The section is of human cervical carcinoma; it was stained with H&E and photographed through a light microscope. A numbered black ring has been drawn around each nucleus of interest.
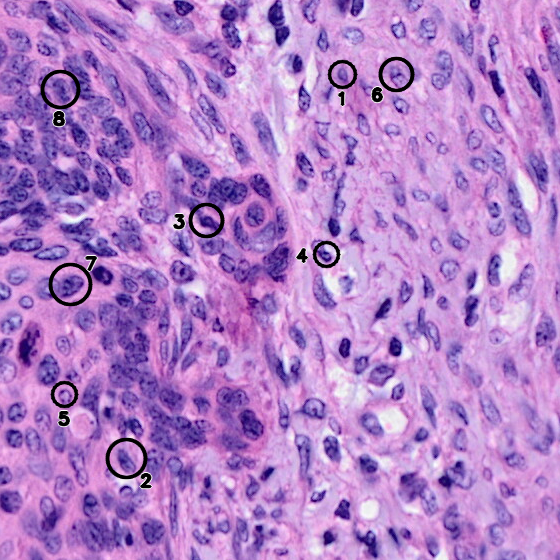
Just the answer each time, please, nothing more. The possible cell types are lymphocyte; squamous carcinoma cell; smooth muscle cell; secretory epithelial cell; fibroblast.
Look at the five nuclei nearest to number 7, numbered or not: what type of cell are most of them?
squamous carcinoma cell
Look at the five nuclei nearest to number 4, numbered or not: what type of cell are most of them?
lymphocyte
